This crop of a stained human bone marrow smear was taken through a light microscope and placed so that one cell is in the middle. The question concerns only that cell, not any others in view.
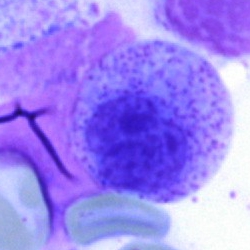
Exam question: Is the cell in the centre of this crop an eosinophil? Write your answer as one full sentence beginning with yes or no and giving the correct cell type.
No, instead of being an eosinophil, the middle cell is a myelocyte.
